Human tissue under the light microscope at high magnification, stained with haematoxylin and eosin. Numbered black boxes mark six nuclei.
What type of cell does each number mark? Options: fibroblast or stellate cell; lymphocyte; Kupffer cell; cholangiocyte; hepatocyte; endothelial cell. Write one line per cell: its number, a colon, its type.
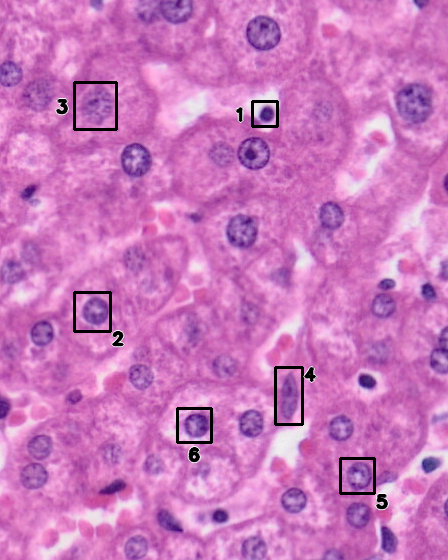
1: lymphocyte
2: hepatocyte
3: hepatocyte
4: Kupffer cell
5: hepatocyte
6: hepatocyte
